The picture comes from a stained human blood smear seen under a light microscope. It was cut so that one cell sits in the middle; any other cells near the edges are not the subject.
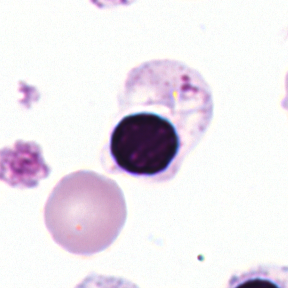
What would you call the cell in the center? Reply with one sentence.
What the crop centres on is an erythroblast.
